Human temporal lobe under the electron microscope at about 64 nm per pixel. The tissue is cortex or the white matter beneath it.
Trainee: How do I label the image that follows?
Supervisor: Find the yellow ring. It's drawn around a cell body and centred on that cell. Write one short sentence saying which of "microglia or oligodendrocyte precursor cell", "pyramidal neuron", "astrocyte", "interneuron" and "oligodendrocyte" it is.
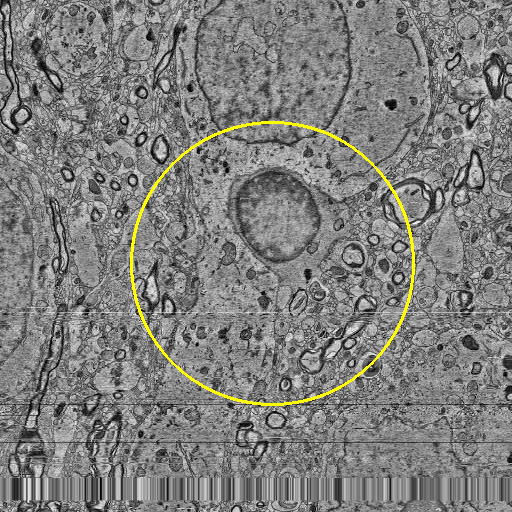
This is the cell body of an oligodendrocyte.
